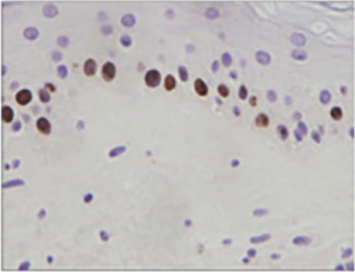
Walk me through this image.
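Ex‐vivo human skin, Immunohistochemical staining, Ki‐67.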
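Along the lower edge of the epidermis a row of round to oval nuclei is stained dark brown, forming a wavy line. The nuclei above this row are blue and unstained brown, and the dermis beneath contains sparse small, elongated blue nuclei of fibroblasts.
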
